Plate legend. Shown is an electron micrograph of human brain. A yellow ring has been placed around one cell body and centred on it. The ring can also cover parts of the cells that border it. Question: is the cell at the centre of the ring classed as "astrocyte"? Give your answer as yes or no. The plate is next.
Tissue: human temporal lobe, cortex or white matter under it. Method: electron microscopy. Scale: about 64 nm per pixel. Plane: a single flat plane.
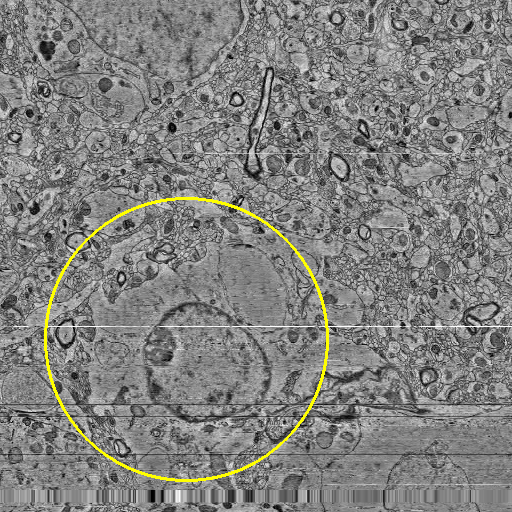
Yes, the ringed cell is of that kind.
